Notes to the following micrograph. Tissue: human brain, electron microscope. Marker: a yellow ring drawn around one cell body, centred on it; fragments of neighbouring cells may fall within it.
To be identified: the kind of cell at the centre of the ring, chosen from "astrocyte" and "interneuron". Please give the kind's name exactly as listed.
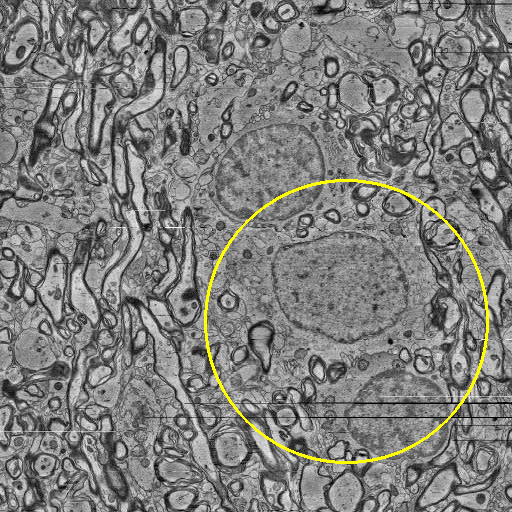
astrocyte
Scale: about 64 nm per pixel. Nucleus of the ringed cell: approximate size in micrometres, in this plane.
The nucleus appears roughly 9 by 7 micrometres in this plane.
